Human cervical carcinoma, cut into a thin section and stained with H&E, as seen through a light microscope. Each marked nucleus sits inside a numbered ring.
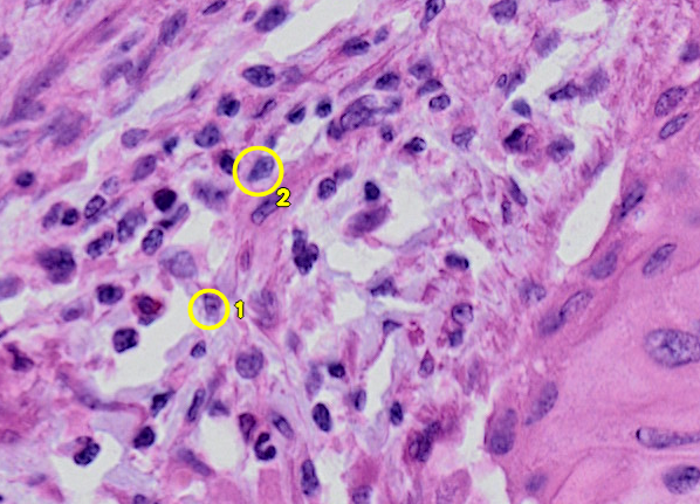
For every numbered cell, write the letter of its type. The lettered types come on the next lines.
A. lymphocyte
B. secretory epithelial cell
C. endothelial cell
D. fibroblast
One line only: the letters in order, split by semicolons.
D; A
